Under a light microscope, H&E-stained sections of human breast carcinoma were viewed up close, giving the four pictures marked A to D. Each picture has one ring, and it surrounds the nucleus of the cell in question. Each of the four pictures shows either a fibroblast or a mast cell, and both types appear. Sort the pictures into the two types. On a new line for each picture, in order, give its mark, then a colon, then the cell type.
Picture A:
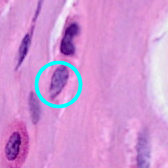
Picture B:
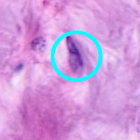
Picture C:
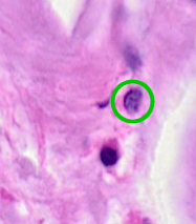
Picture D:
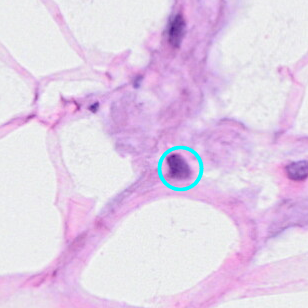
A: mast cell
B: fibroblast
C: mast cell
D: fibroblast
